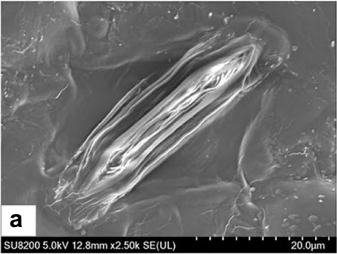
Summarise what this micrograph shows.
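Surface view of leaf epidermis with a single elongated stoma lying diagonally in the field. The pore is a narrow slit bounded by a pair of long, slender guard cells with raised, ridged, folded surfaces. The stomatal complex sits slightly sunken in a smooth, wavy cuticular surface of the surrounding epidermal cells.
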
